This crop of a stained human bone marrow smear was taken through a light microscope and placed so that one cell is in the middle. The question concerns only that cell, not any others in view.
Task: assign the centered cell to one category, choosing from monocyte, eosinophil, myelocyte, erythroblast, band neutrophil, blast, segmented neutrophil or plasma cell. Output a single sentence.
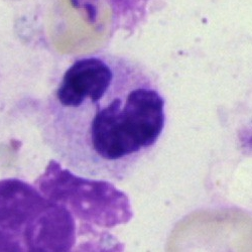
In the middle of this smear crop, the cell is a segmented neutrophil.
